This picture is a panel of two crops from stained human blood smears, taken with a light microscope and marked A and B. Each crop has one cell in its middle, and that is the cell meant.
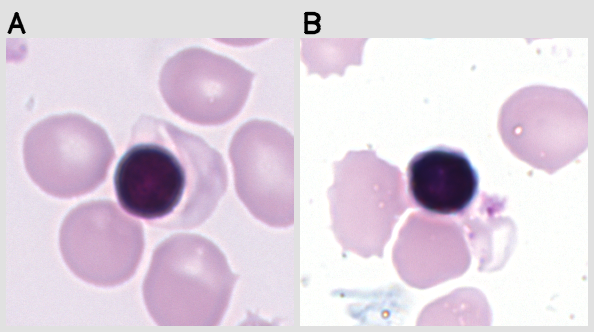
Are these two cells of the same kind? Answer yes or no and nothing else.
yes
